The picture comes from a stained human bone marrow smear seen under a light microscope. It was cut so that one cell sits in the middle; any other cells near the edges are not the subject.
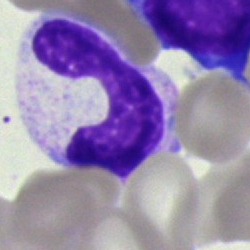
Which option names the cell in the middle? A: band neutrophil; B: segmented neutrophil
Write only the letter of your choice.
A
